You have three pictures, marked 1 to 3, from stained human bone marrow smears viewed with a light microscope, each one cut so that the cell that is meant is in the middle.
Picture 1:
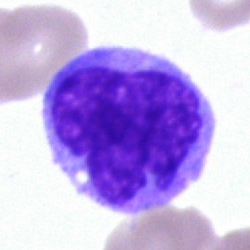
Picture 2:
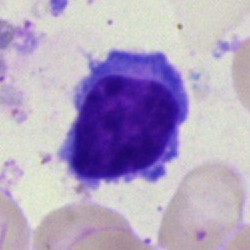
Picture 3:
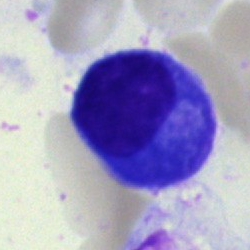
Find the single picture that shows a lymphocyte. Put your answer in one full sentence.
Picture 2 is the one that shows the lymphocyte.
